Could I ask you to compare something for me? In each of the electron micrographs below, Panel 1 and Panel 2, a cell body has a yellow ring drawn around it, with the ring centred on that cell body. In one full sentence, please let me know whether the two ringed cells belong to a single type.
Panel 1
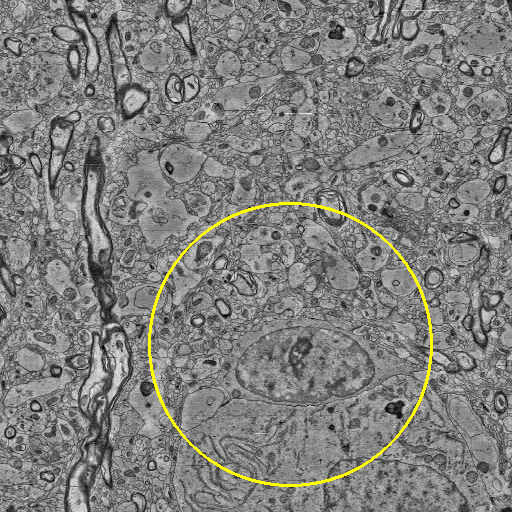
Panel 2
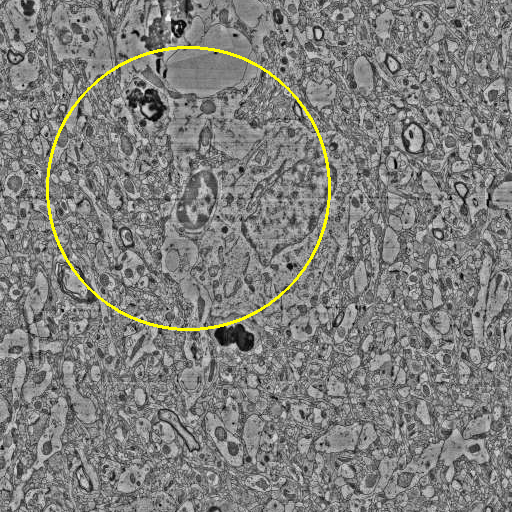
No, the two cells at the centres of the rings are of two types.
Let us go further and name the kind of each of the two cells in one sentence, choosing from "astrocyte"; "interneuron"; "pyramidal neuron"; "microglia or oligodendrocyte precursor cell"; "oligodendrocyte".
The ring of the first picture is on an oligodendrocyte, the ring of the second on a microglial cell or oligodendrocyte precursor cell.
